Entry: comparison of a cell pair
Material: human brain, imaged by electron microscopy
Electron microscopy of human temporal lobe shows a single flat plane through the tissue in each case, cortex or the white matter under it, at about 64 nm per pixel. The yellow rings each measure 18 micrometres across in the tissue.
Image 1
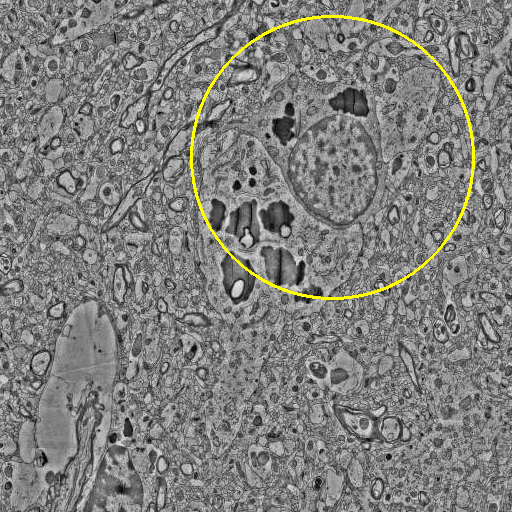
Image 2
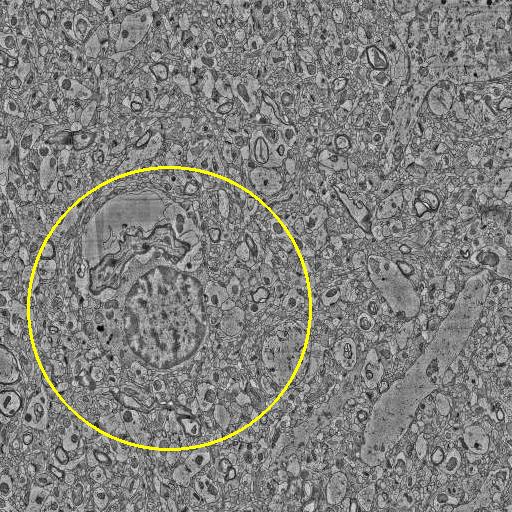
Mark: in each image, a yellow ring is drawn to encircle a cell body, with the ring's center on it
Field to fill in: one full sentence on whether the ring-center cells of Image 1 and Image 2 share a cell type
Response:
Yes, Image 1 and Image 2 each show a ring-center cell of one shared type.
